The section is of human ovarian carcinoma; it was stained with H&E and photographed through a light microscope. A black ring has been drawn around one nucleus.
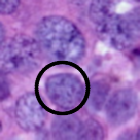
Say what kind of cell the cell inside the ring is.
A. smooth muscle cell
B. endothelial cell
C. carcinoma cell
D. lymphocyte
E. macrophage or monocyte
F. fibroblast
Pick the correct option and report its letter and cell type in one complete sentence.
Option C gets it right: the cell inside the ring is a carcinoma cell.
